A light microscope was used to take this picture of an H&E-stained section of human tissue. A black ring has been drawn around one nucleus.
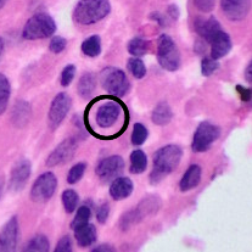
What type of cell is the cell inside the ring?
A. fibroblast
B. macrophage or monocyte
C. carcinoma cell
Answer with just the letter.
B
